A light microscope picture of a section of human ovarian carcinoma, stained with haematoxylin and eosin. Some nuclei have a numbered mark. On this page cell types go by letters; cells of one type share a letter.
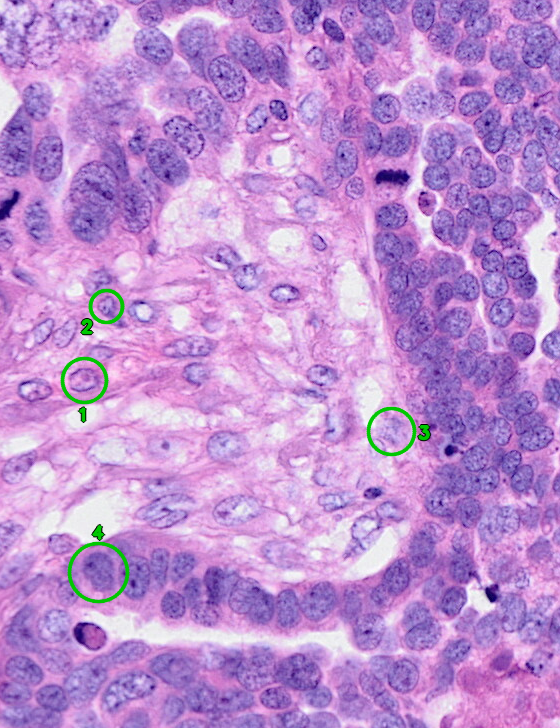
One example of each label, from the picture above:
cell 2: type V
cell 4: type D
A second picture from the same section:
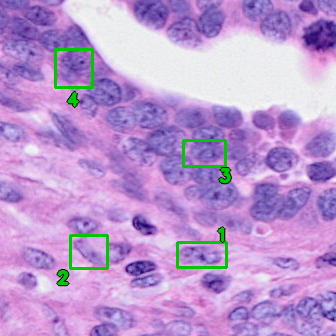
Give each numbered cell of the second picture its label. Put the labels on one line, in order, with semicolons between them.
type V; type V; type D; type D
